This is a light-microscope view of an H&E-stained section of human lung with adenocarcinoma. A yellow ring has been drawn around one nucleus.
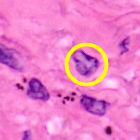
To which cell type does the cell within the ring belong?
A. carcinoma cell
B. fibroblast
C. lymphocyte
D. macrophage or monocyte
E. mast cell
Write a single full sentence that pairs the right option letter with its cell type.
Option B gets it right, as the cell within the ring is a fibroblast.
